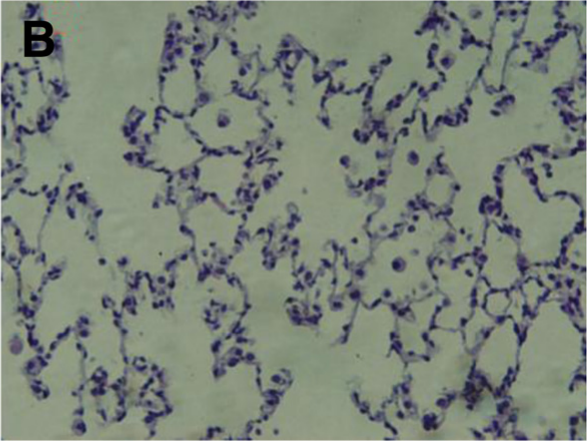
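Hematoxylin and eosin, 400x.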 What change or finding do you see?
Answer: Nearly normal septa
